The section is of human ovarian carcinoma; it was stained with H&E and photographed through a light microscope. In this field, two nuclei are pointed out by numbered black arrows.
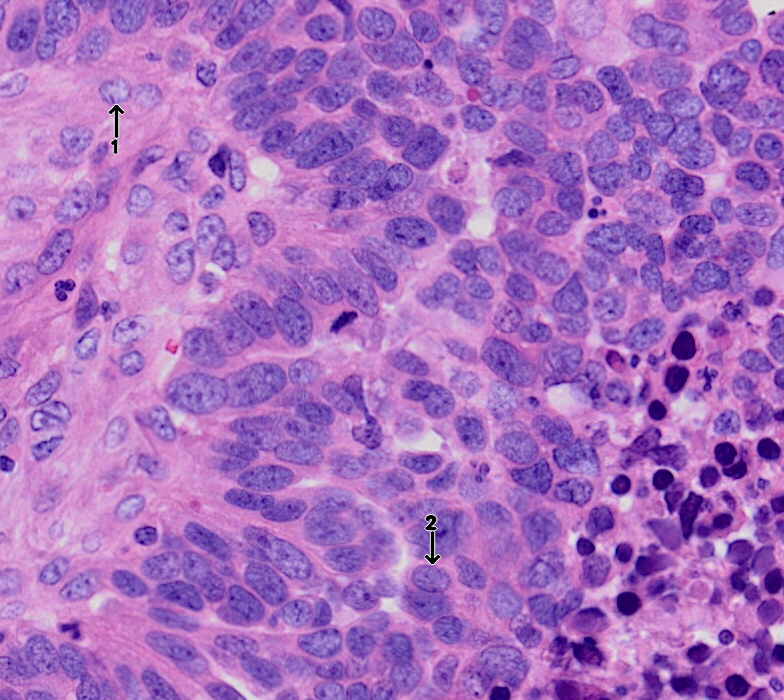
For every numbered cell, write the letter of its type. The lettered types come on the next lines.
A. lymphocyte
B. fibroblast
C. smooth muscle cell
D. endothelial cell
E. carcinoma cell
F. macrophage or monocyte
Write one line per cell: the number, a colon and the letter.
1: B
2: E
